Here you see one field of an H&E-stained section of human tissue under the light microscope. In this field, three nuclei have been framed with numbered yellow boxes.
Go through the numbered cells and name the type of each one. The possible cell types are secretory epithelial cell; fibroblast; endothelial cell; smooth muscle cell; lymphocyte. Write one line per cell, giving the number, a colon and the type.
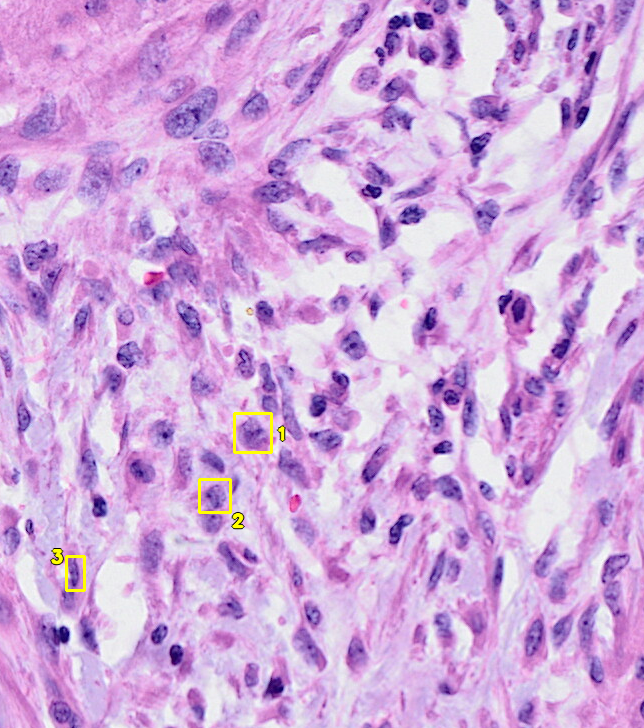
1: fibroblast
2: fibroblast
3: endothelial cell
